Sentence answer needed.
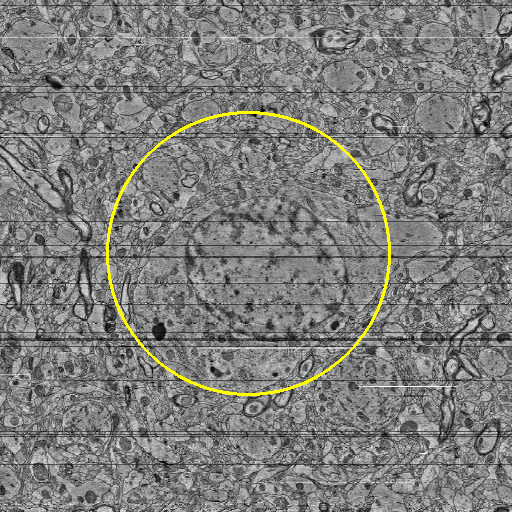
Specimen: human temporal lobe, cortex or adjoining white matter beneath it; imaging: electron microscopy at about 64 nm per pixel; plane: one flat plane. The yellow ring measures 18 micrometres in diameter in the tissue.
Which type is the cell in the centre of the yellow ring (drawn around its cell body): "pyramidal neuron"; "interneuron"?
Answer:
In the centre of the yellow ring is an interneuron.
